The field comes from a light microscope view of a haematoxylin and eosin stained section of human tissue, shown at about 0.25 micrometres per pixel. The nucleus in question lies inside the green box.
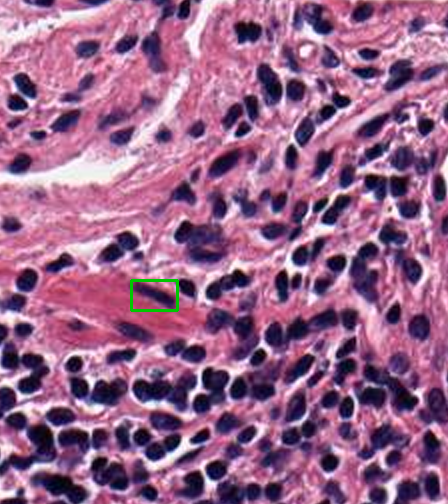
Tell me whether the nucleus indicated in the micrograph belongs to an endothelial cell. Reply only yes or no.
no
